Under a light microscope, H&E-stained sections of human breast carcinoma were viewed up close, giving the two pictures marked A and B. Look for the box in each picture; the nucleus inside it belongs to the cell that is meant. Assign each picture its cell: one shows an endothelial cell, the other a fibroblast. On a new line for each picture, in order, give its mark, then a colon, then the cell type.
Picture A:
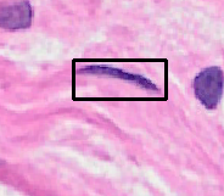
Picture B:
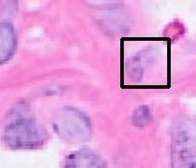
A: fibroblast
B: endothelial cell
